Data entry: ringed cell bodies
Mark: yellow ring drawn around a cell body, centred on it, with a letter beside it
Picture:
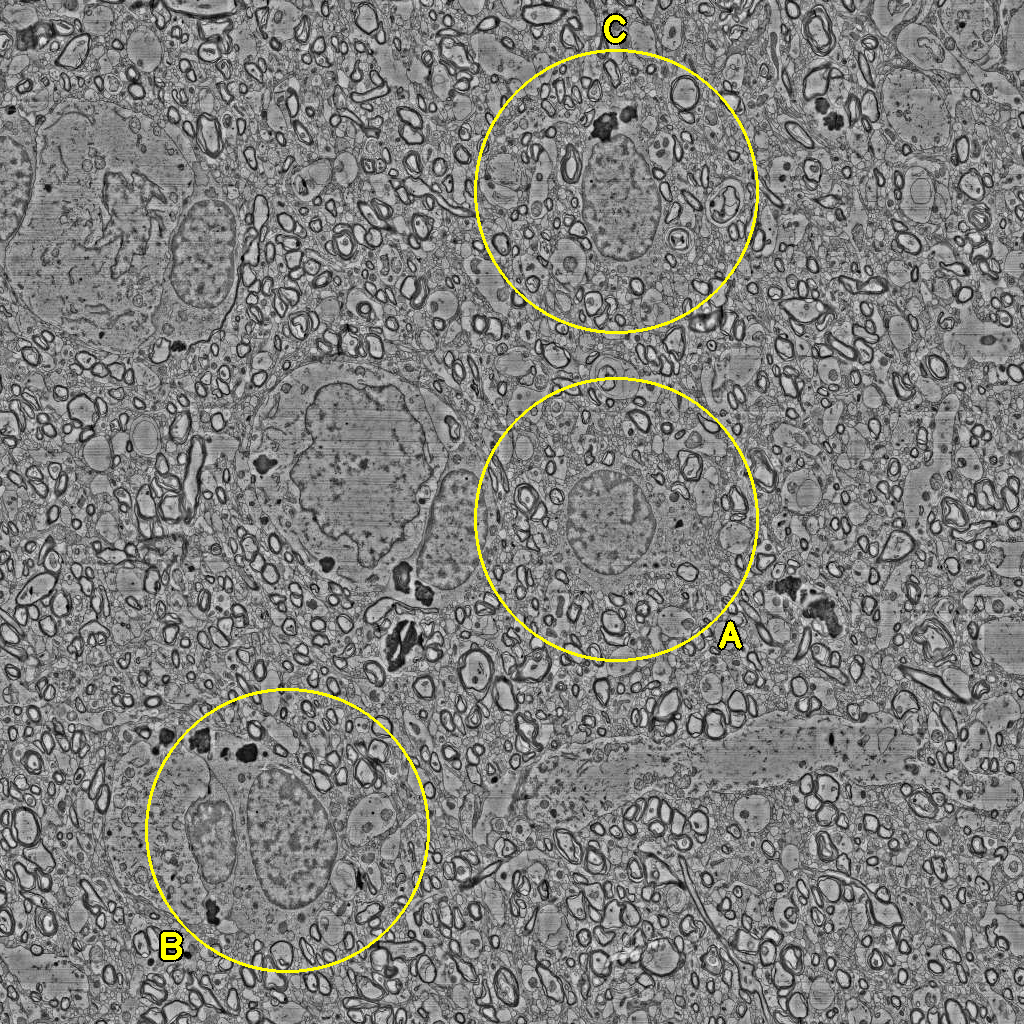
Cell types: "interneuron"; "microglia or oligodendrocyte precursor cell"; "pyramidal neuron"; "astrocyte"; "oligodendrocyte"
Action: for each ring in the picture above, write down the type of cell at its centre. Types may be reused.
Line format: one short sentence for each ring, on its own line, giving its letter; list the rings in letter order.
For ring A, the cell at the centre is an oligodendrocyte.
For ring B, the cell at the centre is an oligodendrocyte.
For ring C, the cell at the centre is an oligodendrocyte.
